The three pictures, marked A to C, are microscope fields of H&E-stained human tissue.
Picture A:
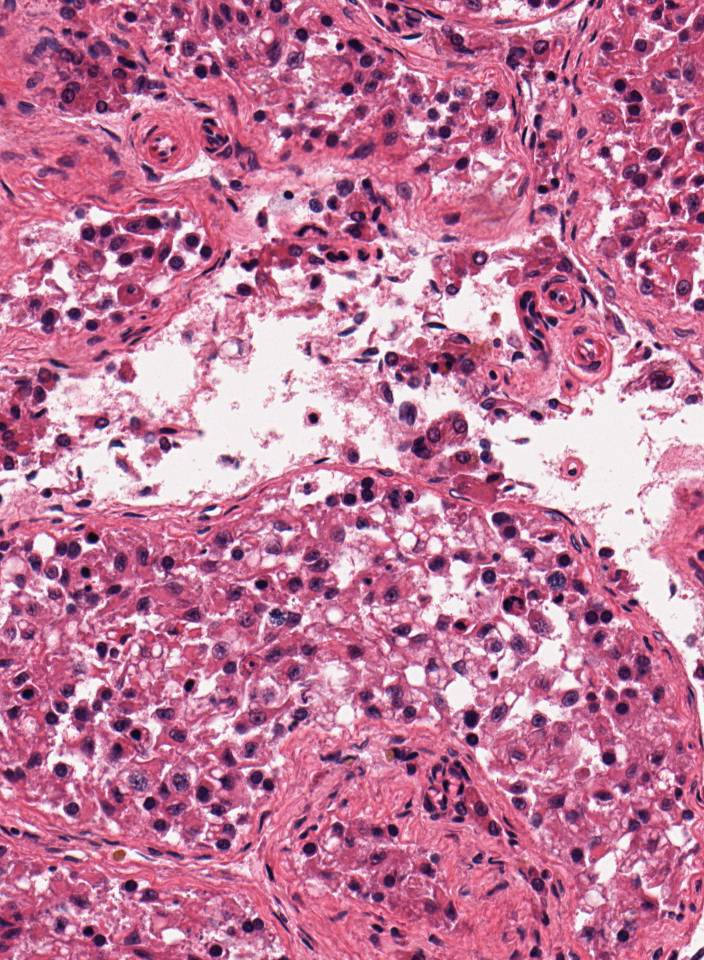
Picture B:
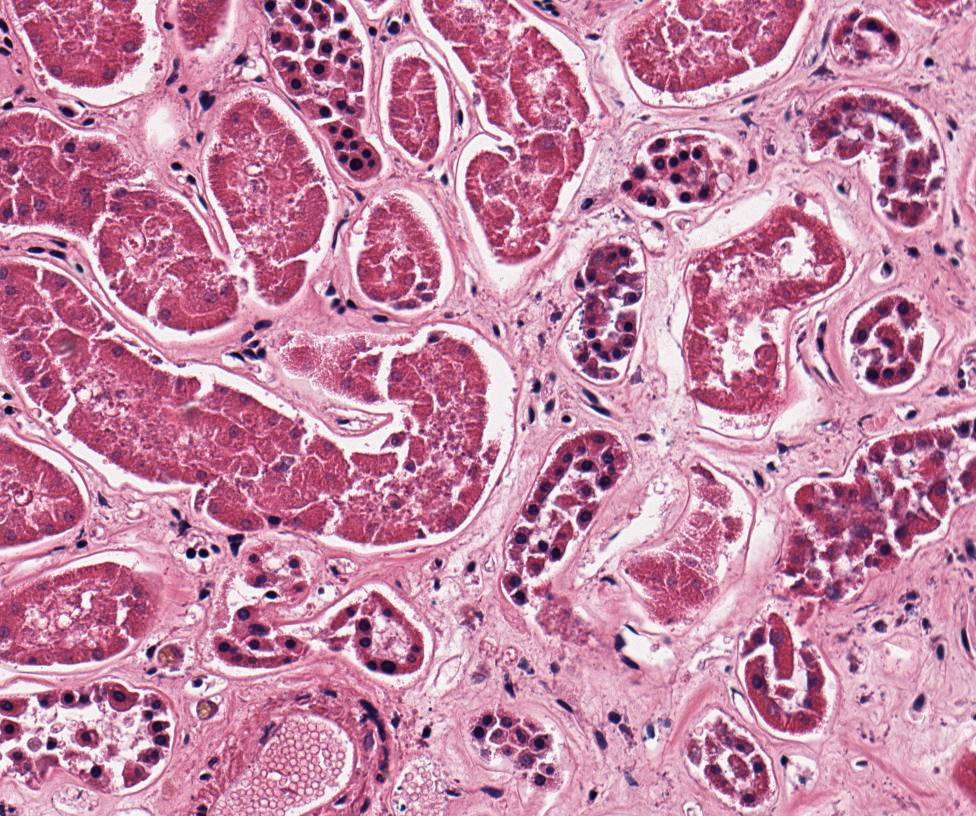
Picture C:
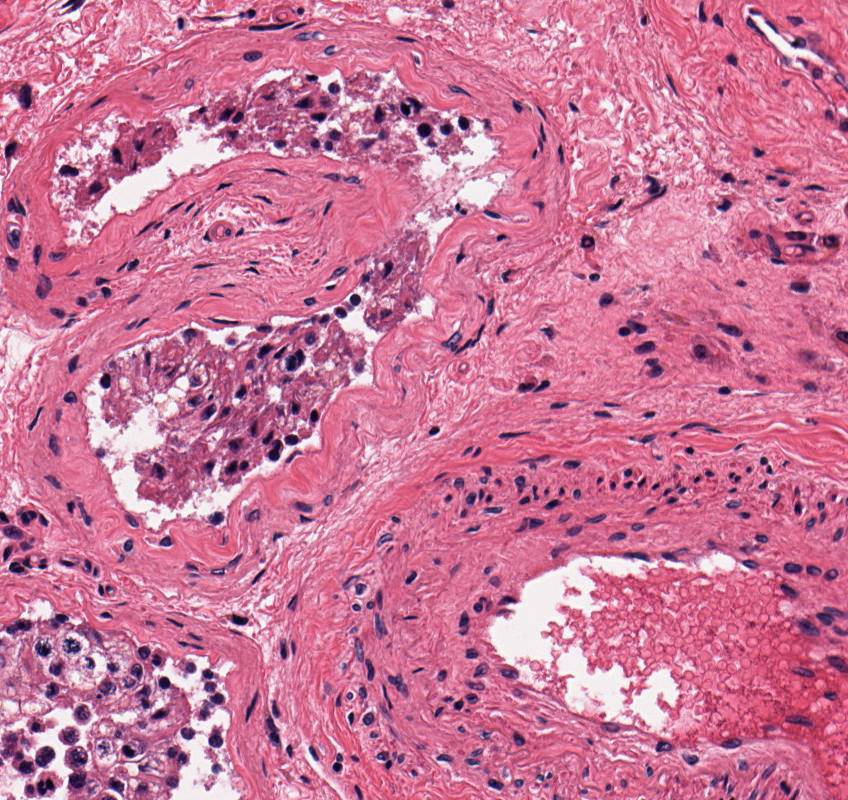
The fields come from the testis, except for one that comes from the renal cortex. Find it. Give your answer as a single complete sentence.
It is picture B that comes from the renal cortex.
